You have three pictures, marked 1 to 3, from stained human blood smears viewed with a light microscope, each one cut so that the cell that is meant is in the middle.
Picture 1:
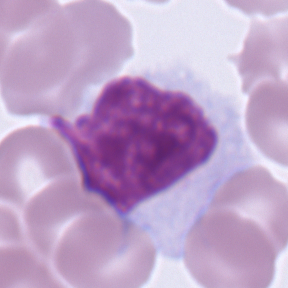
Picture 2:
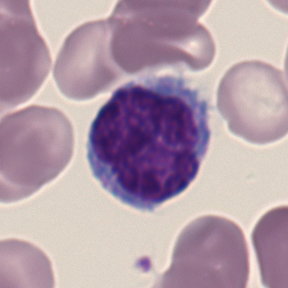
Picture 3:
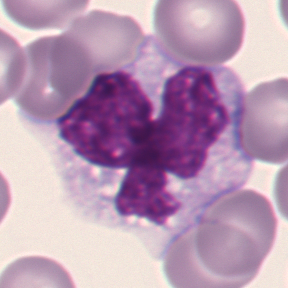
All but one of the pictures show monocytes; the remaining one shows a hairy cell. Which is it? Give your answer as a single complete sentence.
Picture 1 shows the hairy cell.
